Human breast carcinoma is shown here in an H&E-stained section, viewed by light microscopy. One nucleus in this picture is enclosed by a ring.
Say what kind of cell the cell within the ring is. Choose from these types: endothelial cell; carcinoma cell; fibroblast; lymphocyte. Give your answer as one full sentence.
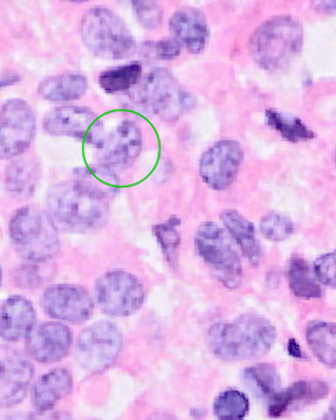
This is a carcinoma cell.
